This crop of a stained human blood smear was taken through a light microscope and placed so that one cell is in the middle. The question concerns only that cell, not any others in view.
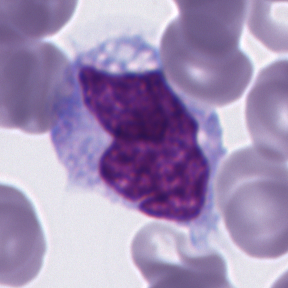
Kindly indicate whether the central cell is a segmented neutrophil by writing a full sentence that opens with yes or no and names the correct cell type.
No, not a segmented neutrophil: the cell in the middle of this crop is a monocyte.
